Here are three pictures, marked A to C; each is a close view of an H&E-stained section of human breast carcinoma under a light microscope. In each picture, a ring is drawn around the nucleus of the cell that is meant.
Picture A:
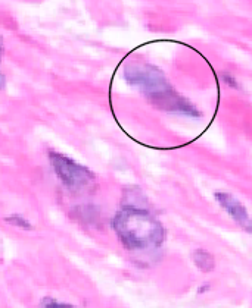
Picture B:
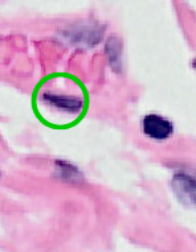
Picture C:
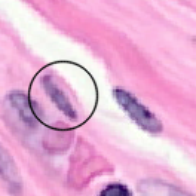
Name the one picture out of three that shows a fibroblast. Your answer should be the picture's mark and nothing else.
A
